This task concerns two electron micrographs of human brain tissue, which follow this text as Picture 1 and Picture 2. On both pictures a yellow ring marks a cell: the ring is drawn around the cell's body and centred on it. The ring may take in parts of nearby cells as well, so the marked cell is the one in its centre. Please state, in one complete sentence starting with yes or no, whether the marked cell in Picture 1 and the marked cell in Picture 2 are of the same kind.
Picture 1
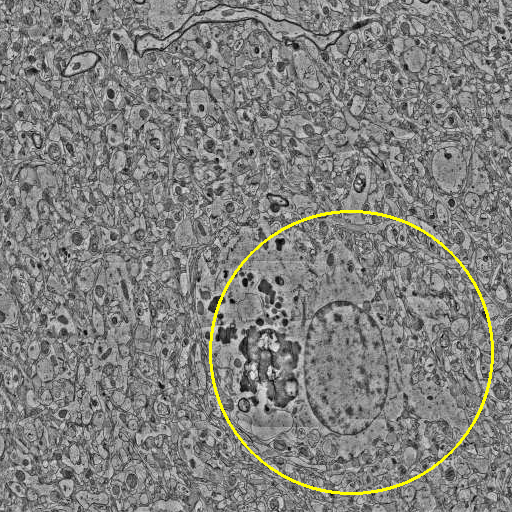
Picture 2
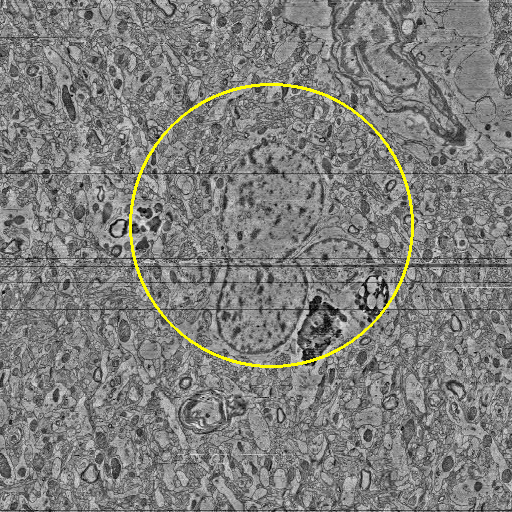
Yes, the marked cells in both pictures are of the same kind.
